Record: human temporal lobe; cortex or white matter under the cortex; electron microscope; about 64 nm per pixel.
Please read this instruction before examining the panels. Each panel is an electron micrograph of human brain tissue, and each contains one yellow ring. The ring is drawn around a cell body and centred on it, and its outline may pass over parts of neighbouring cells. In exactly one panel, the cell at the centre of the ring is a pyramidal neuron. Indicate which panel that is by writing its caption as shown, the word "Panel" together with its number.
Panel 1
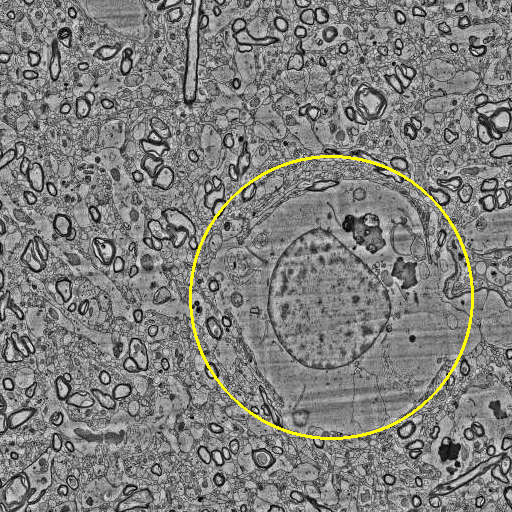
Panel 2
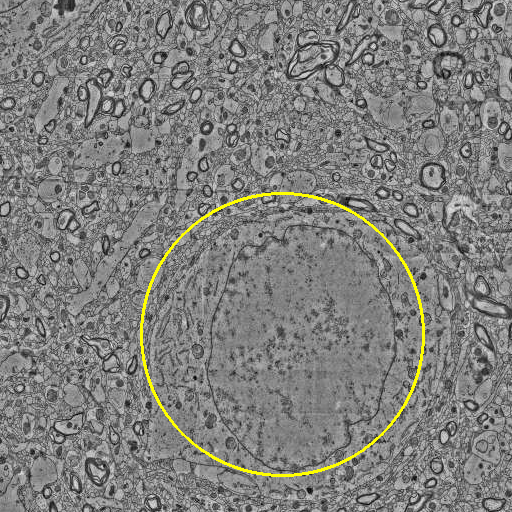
Panel 2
